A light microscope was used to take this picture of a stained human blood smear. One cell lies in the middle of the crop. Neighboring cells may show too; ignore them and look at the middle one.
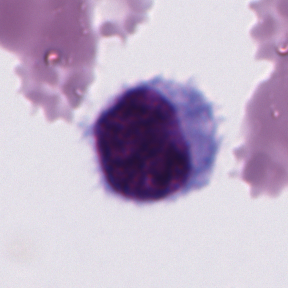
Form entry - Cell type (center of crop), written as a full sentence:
At the center of the crop sits a hairy cell.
